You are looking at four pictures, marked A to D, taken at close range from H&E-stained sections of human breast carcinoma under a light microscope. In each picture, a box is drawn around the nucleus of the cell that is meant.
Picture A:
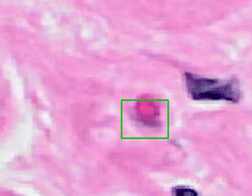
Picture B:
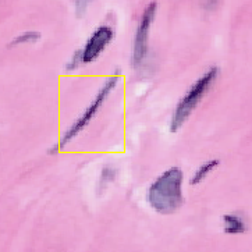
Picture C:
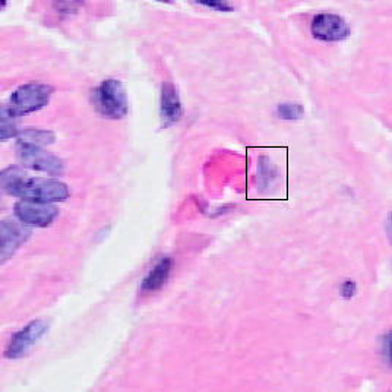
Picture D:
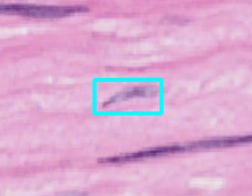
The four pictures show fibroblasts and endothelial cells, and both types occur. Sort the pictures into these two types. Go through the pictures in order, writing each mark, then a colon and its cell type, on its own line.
A: endothelial cell
B: fibroblast
C: endothelial cell
D: fibroblast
